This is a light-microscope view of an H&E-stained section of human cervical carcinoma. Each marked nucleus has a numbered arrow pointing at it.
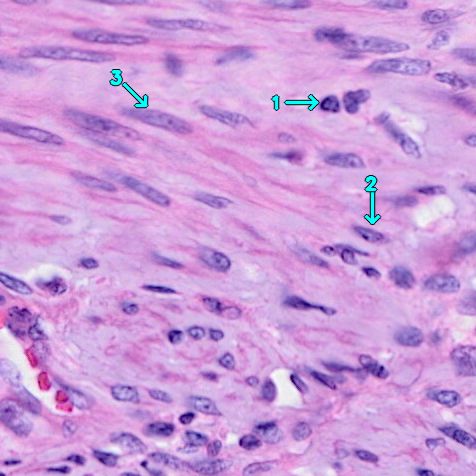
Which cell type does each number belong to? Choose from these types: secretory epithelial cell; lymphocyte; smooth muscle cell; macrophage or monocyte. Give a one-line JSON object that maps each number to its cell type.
{"1": "lymphocyte", "2": "smooth muscle cell", "3": "smooth muscle cell"}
